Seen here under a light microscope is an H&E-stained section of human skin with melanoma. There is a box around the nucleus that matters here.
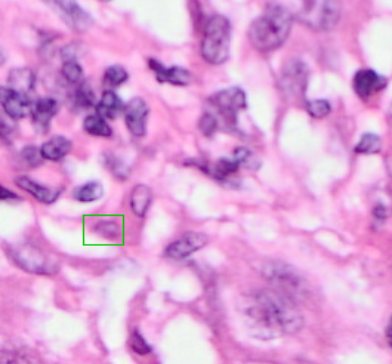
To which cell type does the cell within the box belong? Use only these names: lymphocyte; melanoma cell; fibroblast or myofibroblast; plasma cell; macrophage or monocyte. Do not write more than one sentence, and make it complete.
What the cell within the box represents is a macrophage or monocyte.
